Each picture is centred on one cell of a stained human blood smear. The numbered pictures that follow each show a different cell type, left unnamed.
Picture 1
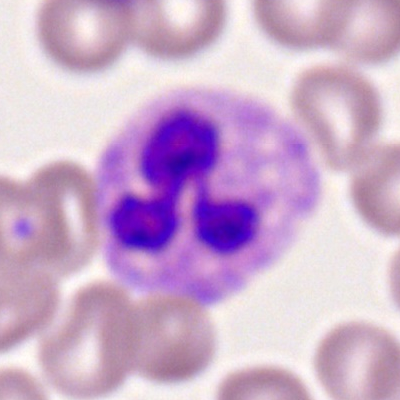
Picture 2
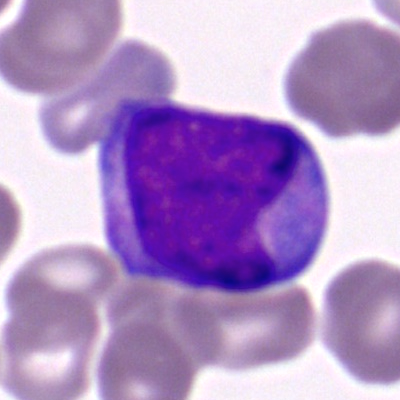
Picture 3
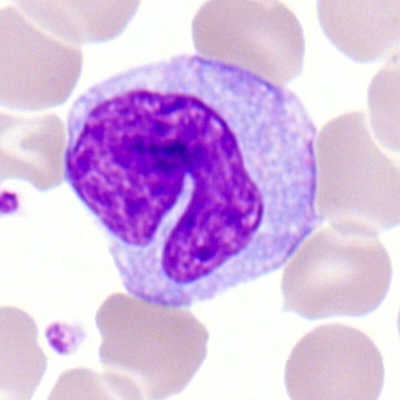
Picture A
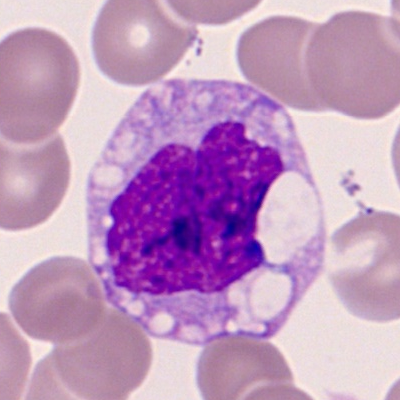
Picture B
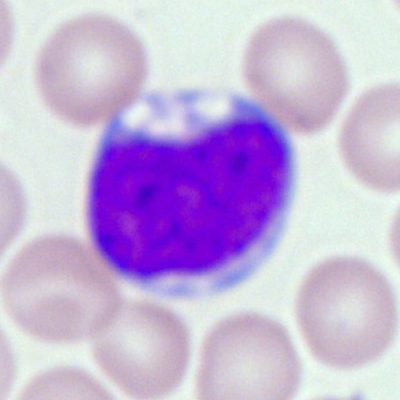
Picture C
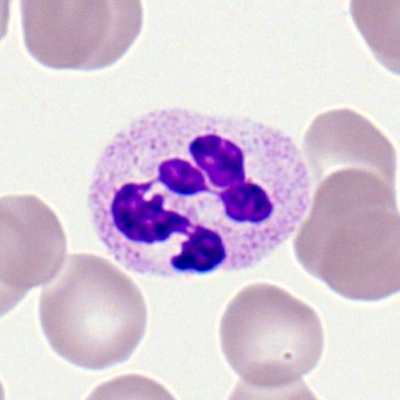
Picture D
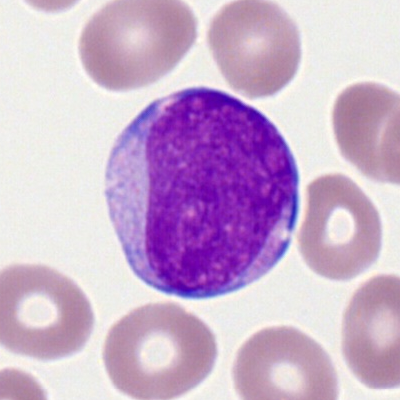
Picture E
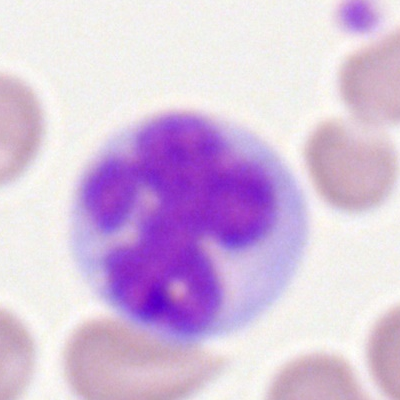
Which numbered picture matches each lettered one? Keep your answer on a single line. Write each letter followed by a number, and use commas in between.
A 3, B 2, C 1, D 2, E 3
